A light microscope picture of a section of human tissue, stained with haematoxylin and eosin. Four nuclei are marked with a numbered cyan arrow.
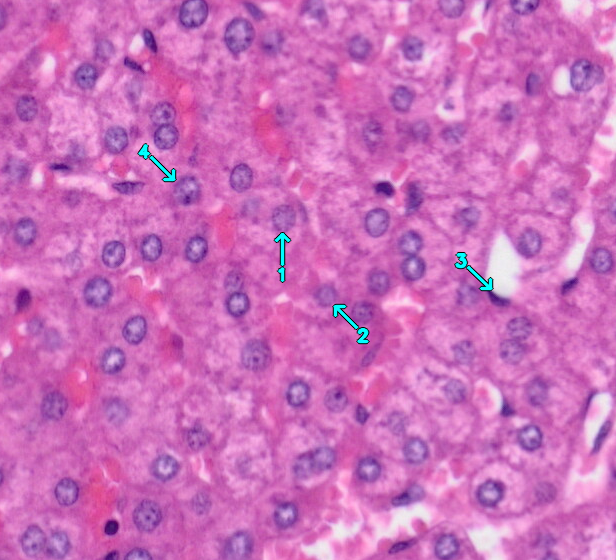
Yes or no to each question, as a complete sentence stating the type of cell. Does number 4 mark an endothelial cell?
No, it is a hepatocyte, rather than an endothelial cell, that carries number 4.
